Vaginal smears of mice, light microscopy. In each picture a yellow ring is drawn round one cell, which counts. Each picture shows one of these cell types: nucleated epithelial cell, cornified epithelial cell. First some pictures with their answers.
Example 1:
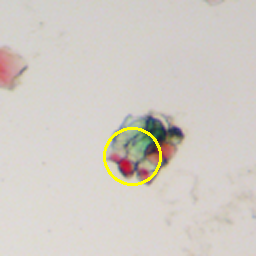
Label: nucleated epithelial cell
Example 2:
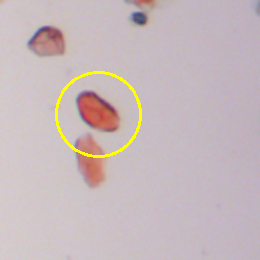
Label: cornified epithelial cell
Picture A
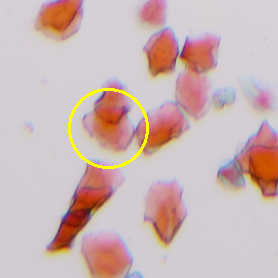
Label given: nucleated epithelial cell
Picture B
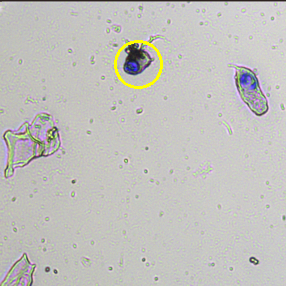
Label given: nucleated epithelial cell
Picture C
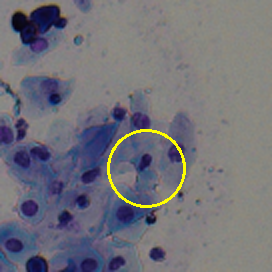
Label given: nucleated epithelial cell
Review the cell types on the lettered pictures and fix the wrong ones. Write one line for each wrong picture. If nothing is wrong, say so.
A is labelled nucleated epithelial cell; correct label: cornified epithelial cell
